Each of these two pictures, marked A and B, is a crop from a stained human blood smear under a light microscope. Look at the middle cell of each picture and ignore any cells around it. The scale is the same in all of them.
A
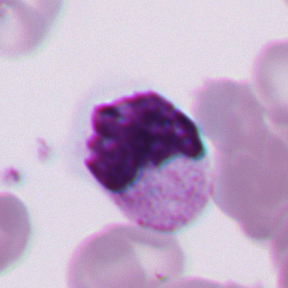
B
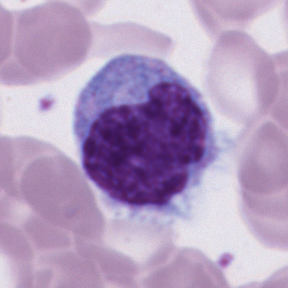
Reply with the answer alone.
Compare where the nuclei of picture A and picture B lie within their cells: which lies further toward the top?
A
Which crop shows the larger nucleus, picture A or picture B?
B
